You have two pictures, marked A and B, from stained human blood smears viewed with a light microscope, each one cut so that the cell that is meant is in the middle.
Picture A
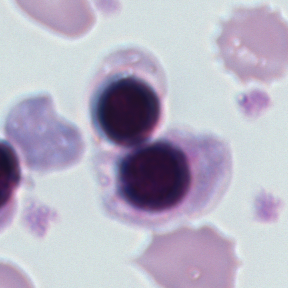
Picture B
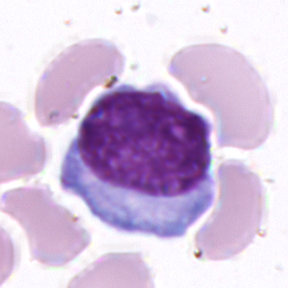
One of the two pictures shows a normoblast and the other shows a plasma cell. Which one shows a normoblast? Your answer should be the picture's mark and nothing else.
A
